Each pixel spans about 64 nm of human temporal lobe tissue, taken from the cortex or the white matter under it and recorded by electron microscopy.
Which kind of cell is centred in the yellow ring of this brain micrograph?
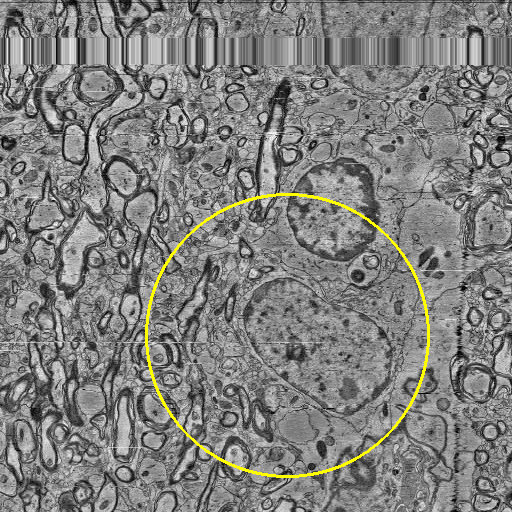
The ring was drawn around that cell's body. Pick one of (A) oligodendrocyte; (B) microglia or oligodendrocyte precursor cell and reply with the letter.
B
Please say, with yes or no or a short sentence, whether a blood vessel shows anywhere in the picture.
Yes, there is one.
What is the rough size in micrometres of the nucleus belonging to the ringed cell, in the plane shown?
In this plane the nucleus is clearly longer than it is wide, at approximately 10 by 7 micrometres.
